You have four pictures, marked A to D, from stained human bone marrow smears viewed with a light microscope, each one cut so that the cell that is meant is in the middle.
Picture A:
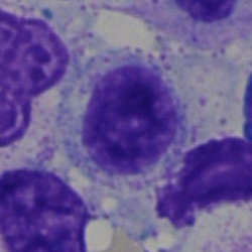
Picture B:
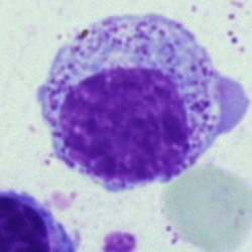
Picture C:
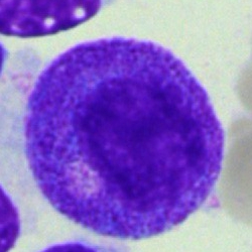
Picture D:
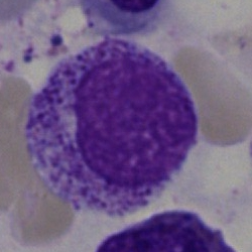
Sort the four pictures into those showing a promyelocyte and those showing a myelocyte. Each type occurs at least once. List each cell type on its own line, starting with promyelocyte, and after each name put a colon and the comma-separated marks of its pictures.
promyelocyte: C
myelocyte: A, B, D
